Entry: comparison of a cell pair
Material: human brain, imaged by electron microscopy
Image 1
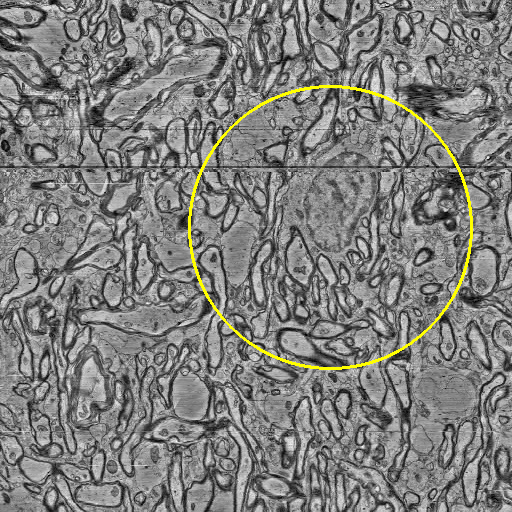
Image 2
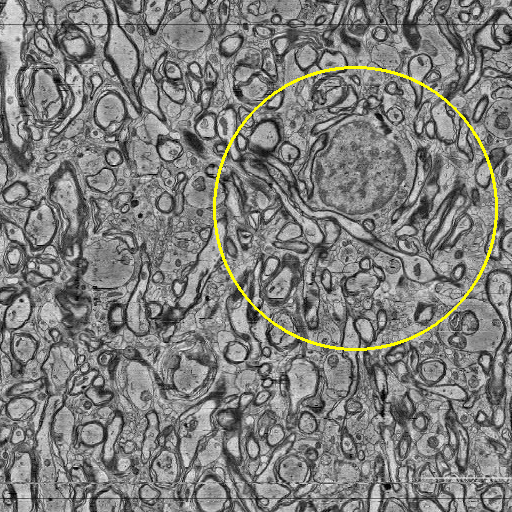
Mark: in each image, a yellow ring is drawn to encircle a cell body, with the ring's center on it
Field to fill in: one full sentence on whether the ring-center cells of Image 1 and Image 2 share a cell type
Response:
Yes, Image 1 and Image 2 each show a ring-center cell of one shared type.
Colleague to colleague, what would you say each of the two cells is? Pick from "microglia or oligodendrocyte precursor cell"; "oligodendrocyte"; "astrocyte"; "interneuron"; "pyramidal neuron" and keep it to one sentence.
In the first picture and in the second, the ring is centred on an oligodendrocyte.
